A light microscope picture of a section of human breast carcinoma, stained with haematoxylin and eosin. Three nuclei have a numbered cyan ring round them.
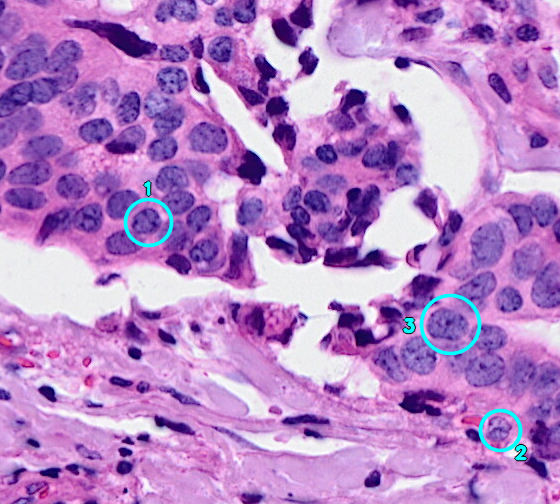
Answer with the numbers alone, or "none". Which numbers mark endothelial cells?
2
